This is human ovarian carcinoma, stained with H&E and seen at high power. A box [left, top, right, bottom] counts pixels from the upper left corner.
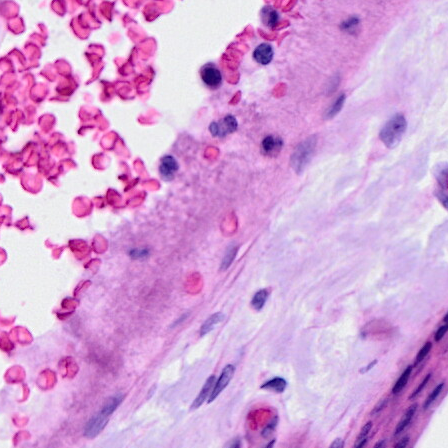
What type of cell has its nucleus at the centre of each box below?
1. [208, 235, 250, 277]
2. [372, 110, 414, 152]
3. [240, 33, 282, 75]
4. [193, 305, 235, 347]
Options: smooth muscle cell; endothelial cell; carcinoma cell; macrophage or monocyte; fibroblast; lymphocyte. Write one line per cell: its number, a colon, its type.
1: endothelial cell
2: fibroblast
3: lymphocyte
4: fibroblast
